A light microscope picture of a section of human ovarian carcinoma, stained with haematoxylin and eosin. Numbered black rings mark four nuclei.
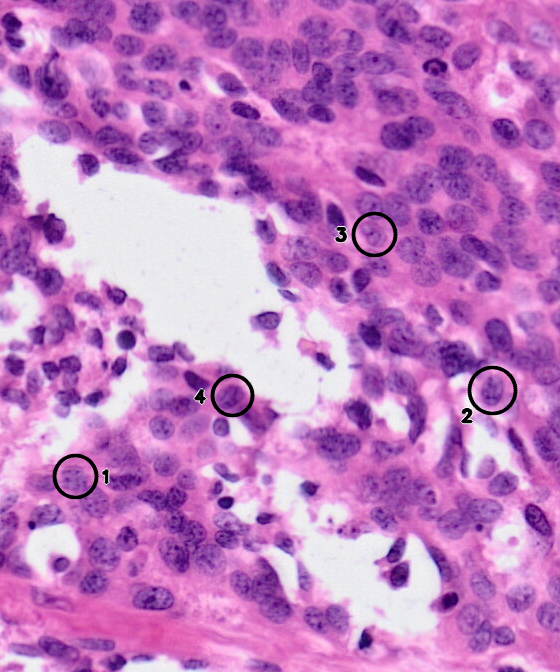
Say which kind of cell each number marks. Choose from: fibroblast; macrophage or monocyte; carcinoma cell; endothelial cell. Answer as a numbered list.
1. carcinoma cell
2. macrophage or monocyte
3. carcinoma cell
4. carcinoma cell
